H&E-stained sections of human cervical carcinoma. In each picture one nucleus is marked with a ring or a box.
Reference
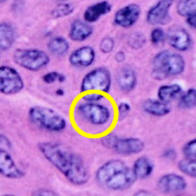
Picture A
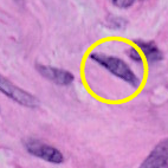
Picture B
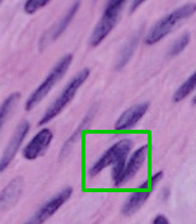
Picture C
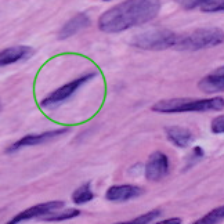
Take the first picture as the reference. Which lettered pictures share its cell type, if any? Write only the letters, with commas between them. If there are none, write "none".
none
